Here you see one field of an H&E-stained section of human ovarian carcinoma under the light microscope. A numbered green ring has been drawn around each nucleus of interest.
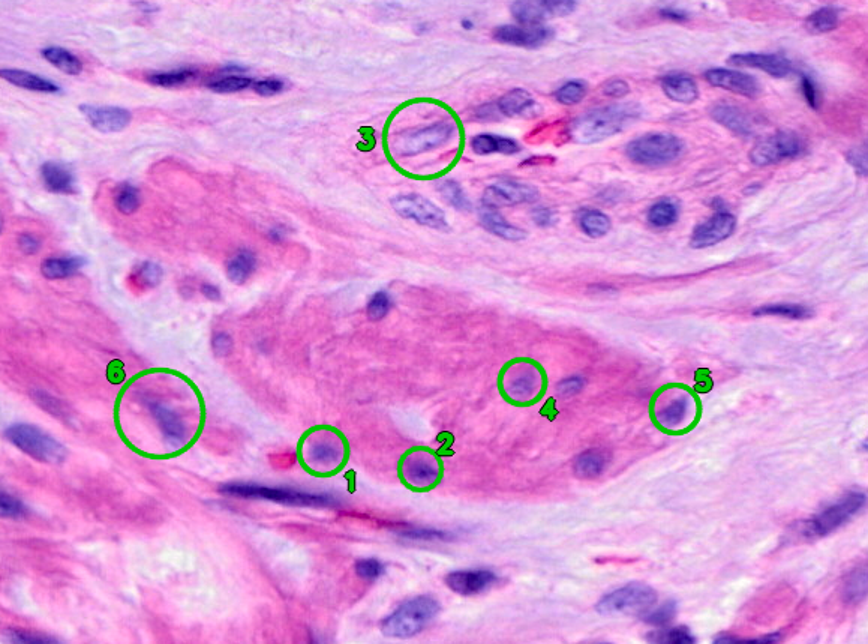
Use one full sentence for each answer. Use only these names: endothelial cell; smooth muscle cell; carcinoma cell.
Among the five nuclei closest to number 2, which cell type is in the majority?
Endothelial cells make up most of the five nuclei closest to number 2.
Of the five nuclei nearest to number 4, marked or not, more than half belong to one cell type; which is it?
Of the five nuclei nearest to number 4, most belong to smooth muscle cells.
